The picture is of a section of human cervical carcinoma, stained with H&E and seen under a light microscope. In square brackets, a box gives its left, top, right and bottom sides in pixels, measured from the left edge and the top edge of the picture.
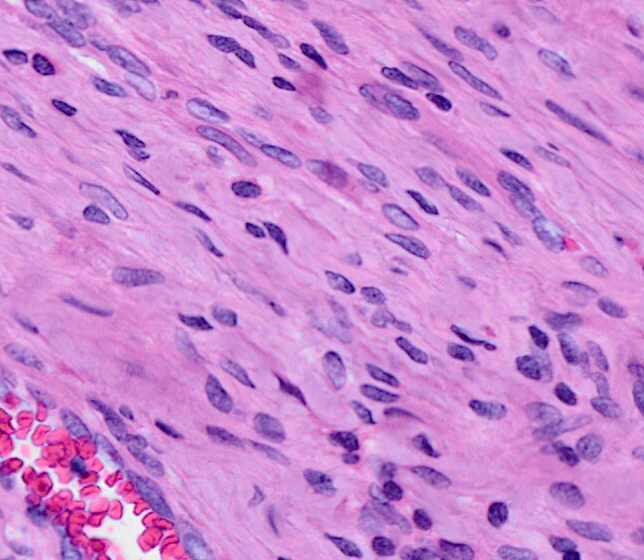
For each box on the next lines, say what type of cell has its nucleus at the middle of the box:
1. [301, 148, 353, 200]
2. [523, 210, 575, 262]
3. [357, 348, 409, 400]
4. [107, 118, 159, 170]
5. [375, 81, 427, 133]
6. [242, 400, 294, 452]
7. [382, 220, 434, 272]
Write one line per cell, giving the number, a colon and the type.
1: endothelial cell
2: endothelial cell
3: fibroblast
4: fibroblast
5: endothelial cell
6: fibroblast
7: smooth muscle cell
